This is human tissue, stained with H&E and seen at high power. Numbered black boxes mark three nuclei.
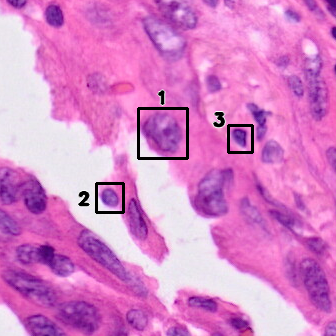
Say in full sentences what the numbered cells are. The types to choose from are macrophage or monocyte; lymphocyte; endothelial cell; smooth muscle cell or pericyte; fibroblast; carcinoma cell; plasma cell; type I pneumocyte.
Cell 1 is a carcinoma cell. Cells 2 and 3 are lymphocytes.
